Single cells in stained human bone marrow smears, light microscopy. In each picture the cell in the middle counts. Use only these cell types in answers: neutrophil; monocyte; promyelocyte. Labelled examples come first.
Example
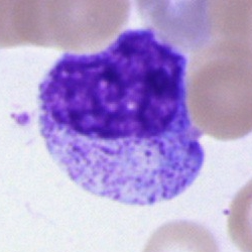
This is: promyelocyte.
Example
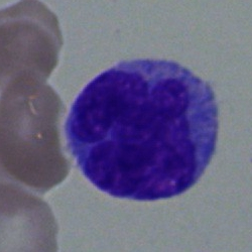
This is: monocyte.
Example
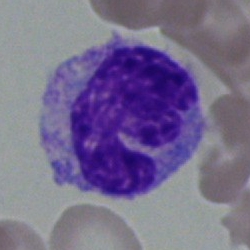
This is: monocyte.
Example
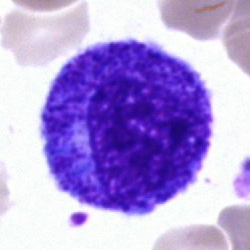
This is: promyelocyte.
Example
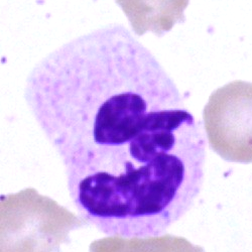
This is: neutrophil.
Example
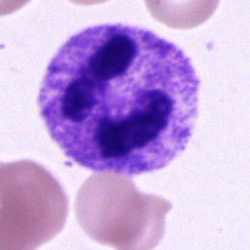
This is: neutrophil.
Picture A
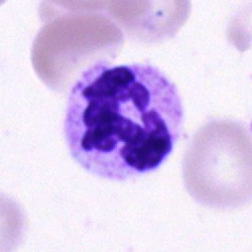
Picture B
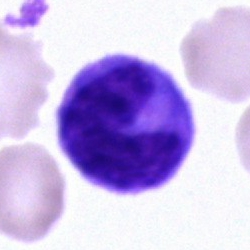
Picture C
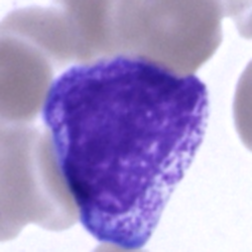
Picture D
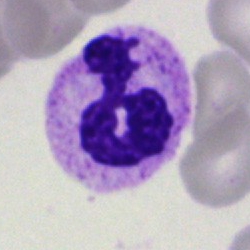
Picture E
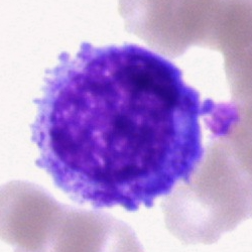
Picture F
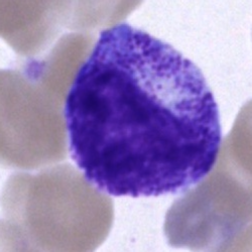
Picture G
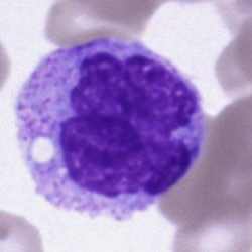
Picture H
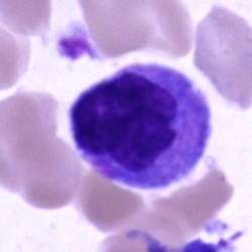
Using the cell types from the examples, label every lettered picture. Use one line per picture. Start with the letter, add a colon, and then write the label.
A: neutrophil.
B: monocyte.
C: promyelocyte.
D: neutrophil.
E: promyelocyte.
F: promyelocyte.
G: monocyte.
H: monocyte.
